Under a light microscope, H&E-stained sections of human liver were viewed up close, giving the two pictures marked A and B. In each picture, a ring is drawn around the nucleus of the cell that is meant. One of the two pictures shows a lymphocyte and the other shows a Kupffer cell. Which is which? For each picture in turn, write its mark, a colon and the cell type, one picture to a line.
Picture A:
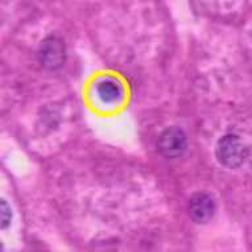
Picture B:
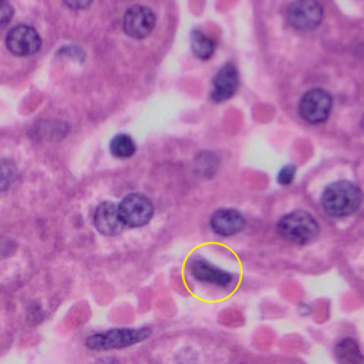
A: lymphocyte
B: Kupffer cell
